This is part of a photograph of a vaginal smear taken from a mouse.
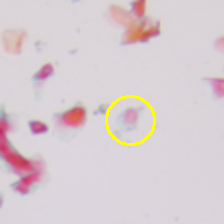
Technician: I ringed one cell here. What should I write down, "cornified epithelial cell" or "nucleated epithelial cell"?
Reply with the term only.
nucleated epithelial cell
